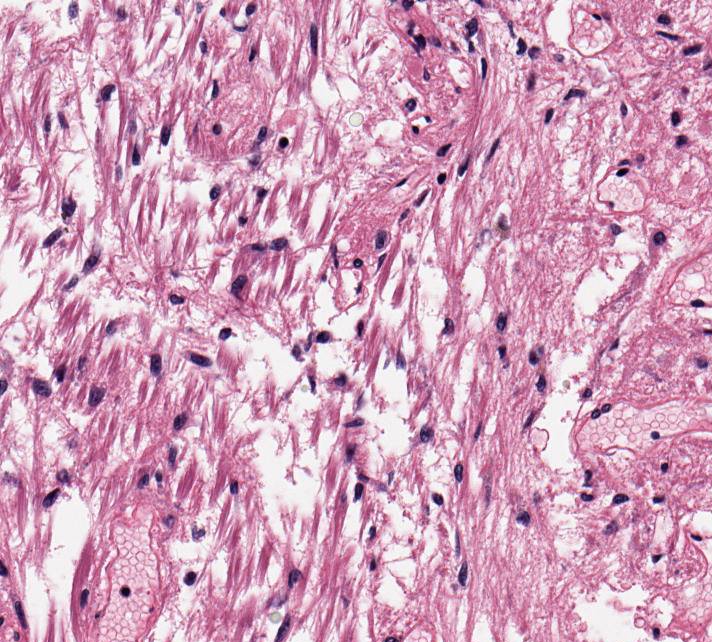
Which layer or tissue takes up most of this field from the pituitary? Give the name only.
neurohypophysis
